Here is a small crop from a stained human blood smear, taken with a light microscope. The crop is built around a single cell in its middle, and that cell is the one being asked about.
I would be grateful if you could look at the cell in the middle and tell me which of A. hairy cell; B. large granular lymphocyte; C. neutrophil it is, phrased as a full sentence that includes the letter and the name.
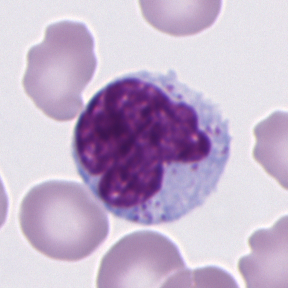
The expected answer is option B, the central cell being a large granular lymphocyte.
